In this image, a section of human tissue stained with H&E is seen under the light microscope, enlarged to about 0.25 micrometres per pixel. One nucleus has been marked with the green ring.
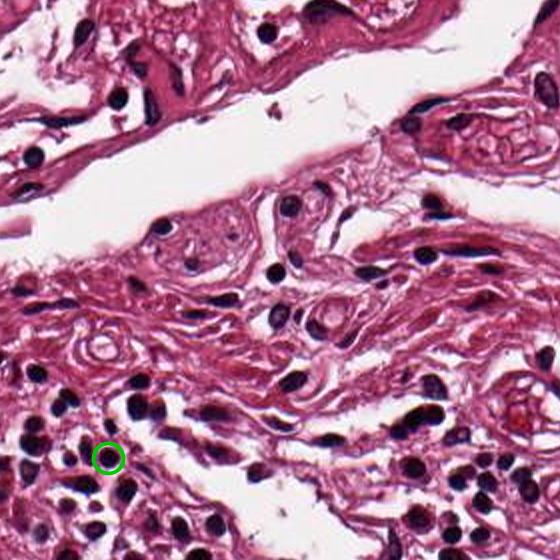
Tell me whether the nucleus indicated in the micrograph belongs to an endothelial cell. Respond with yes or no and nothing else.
no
